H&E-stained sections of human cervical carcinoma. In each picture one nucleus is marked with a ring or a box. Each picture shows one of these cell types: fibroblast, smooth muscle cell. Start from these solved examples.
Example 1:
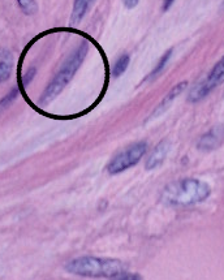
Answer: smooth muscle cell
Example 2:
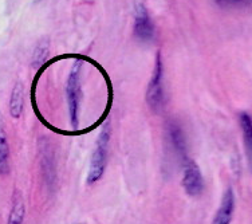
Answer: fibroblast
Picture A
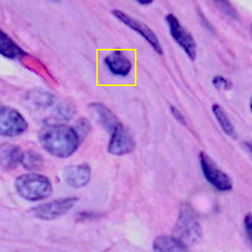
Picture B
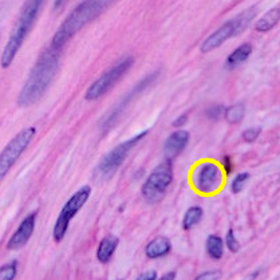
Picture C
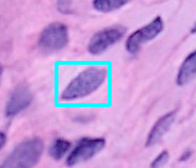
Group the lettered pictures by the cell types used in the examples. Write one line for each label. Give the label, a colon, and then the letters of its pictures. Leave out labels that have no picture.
fibroblast: A, C
smooth muscle cell: B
